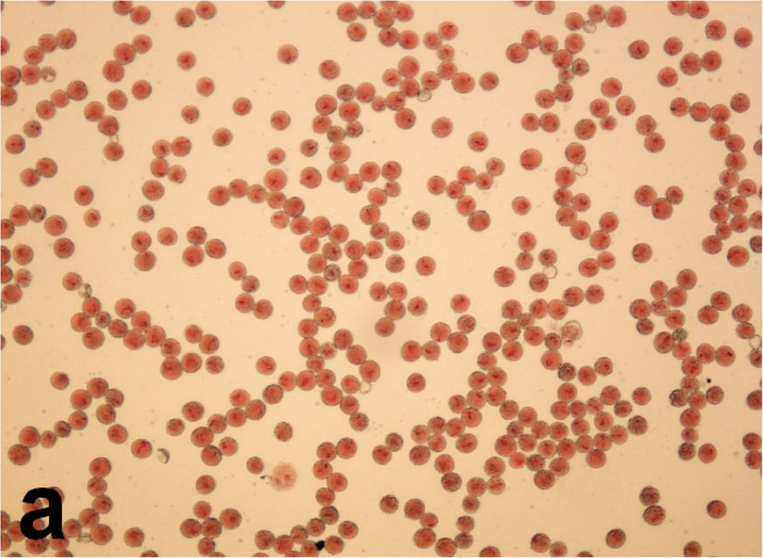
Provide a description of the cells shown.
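Pollen grains lie densely scattered over the field, round and of nearly equal size, singly or touching in short chains and small groups. Nearly all are filled with red stain, with only a few pale, unstained grains among them.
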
